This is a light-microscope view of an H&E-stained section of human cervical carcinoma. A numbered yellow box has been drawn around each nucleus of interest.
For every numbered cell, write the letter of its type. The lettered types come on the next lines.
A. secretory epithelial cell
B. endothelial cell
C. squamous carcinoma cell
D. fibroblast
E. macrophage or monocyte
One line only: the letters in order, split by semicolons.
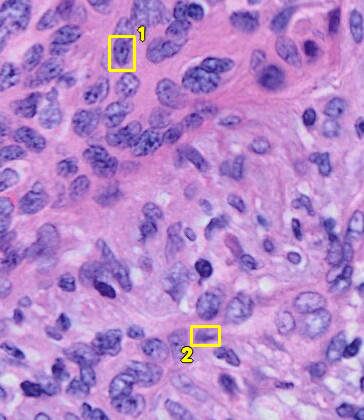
C; B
